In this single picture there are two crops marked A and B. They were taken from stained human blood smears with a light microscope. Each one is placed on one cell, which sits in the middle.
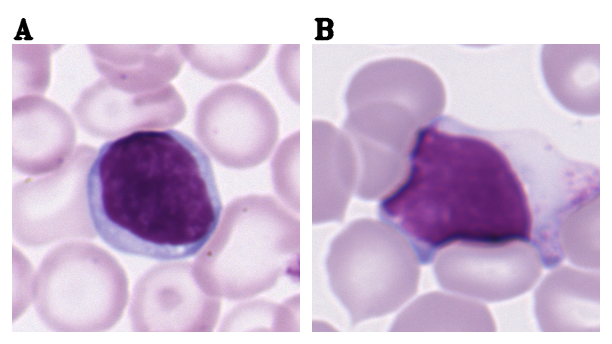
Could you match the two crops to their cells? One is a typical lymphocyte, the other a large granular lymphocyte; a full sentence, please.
The cell of crop A is a typical lymphocyte; that of crop B is a large granular lymphocyte.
